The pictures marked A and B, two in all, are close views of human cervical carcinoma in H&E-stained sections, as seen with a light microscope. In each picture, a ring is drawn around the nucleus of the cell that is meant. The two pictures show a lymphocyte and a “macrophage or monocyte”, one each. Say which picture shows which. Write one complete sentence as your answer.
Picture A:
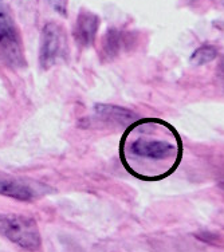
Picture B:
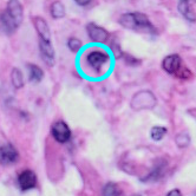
In picture A the cell is a “macrophage or monocyte”; in picture B, a lymphocyte.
